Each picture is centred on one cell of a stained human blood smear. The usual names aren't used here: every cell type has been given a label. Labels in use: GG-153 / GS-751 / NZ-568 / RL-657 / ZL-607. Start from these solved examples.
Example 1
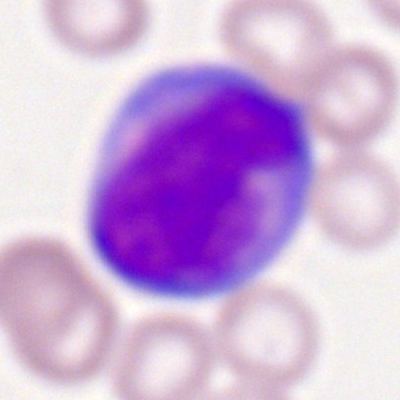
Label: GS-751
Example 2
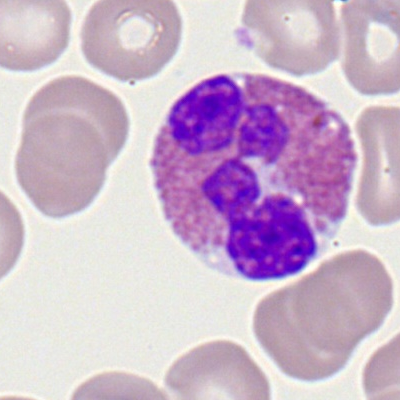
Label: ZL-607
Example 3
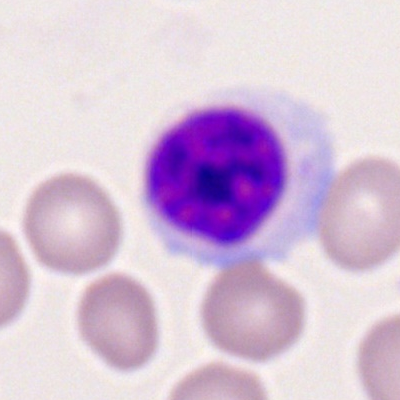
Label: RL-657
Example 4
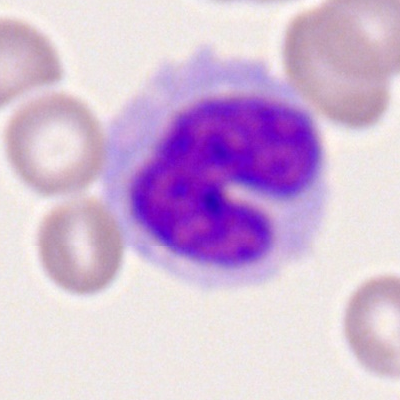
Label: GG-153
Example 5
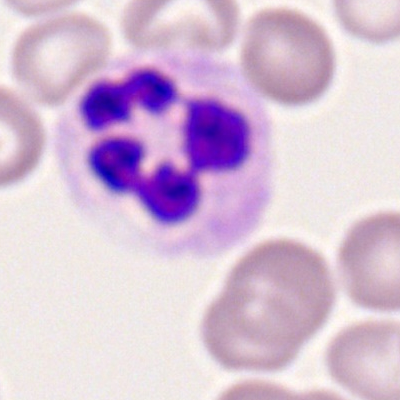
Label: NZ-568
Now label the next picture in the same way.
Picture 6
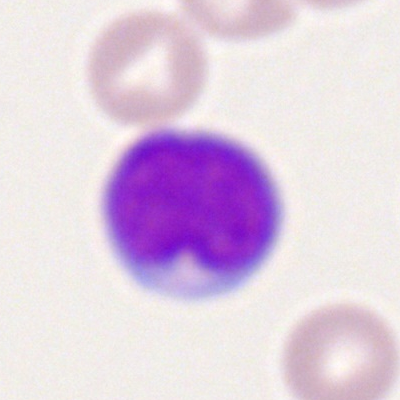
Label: GS-751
